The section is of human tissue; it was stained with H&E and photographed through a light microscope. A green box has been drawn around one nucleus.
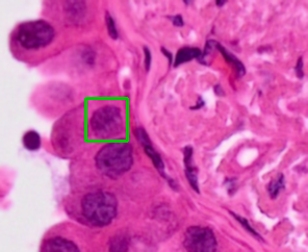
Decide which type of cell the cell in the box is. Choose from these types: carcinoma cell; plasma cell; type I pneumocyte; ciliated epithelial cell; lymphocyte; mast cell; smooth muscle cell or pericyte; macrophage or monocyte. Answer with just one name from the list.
carcinoma cell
